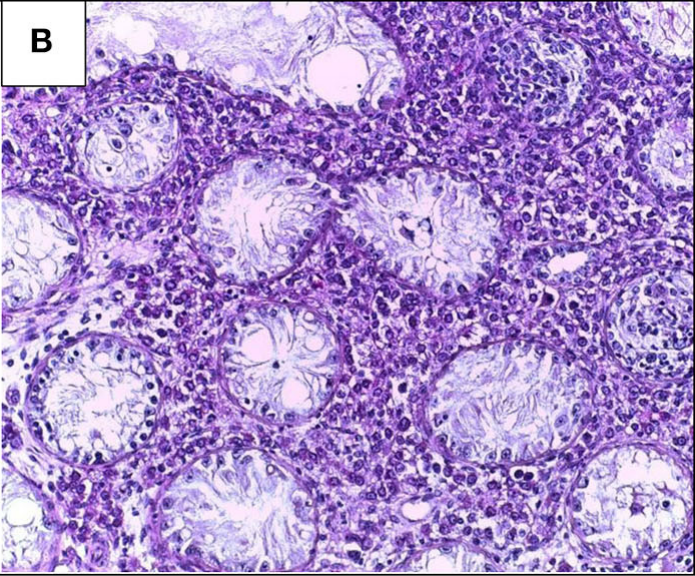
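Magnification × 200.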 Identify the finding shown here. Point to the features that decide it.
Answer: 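Infiltration of the interstitium by immune cells. The spaces between tubules are wide and packed with small round dark nuclei. These densely packed cells surround every tubule.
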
